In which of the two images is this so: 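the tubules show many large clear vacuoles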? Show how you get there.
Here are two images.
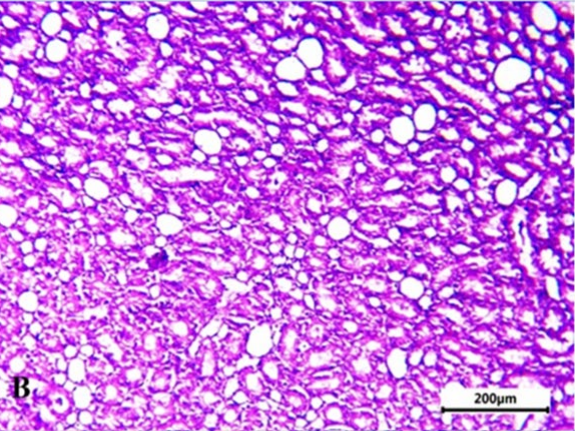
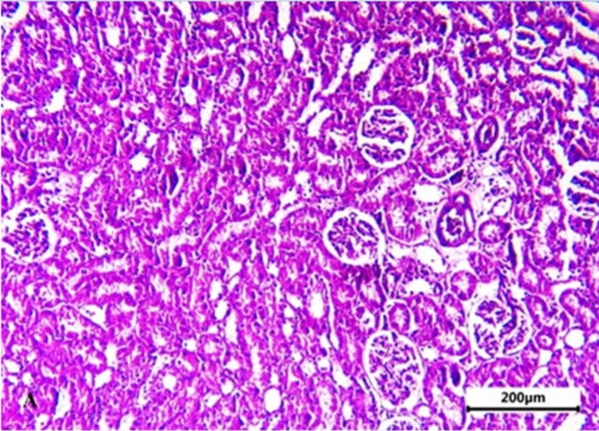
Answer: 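First image: numerous round empty spaces of various sizes are scattered among the tubules. That points to this answer: the first image.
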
